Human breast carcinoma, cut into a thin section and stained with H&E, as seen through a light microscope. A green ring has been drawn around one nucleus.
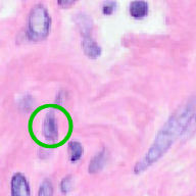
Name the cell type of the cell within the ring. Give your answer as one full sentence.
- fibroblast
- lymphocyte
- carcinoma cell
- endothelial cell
Just put down that the cell within the ring is an endothelial cell.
